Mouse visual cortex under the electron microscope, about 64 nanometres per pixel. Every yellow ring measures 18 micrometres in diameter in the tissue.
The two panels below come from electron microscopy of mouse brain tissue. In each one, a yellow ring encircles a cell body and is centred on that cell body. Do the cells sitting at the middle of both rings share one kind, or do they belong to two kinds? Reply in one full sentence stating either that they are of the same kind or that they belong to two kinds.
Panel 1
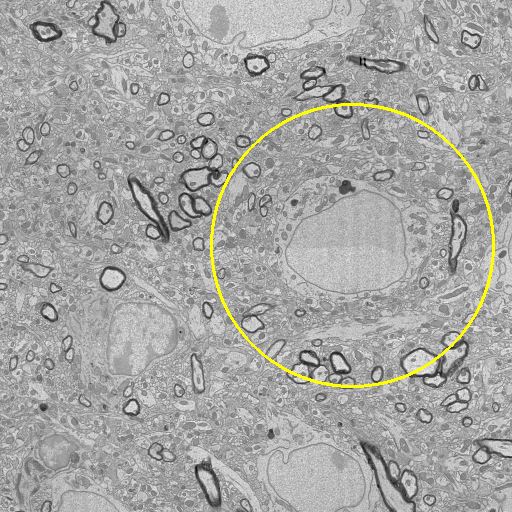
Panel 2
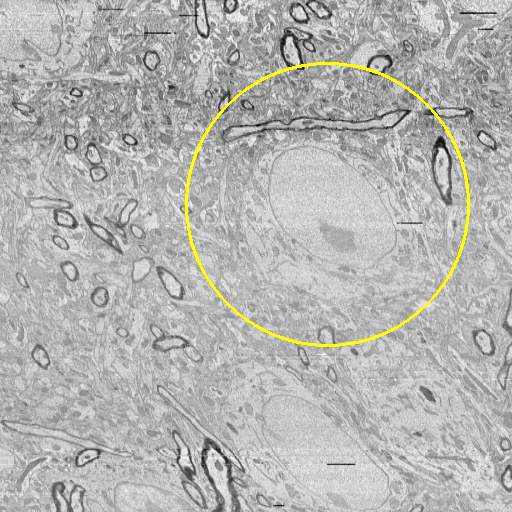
The cells at the centres of the two rings are of the same kind.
